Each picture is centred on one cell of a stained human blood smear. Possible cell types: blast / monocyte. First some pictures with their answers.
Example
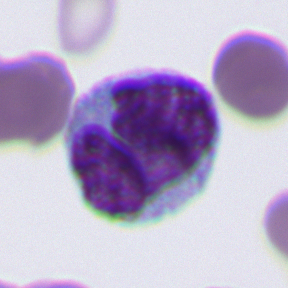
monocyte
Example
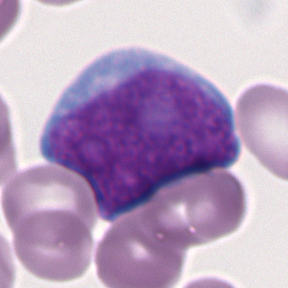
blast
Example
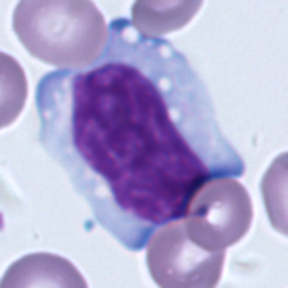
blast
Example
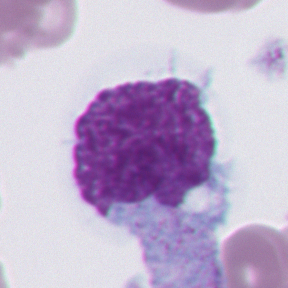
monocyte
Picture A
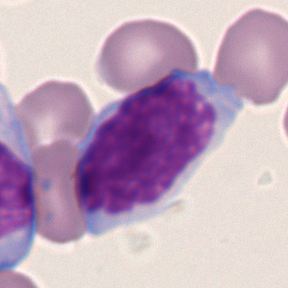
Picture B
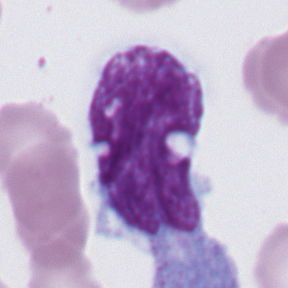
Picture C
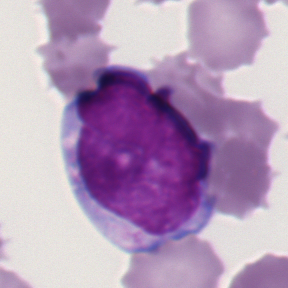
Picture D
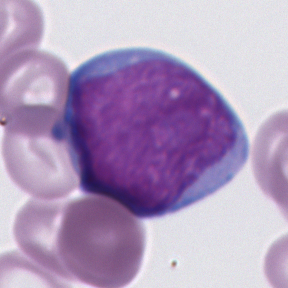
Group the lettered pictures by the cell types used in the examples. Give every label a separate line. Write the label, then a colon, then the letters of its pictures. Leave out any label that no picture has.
blast: A, C, D
monocyte: B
